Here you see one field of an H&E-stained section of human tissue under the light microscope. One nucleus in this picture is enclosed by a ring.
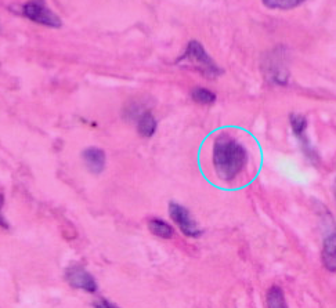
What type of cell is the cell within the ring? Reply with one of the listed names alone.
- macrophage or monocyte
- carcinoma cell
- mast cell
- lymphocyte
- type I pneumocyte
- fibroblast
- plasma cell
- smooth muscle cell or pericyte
fibroblast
